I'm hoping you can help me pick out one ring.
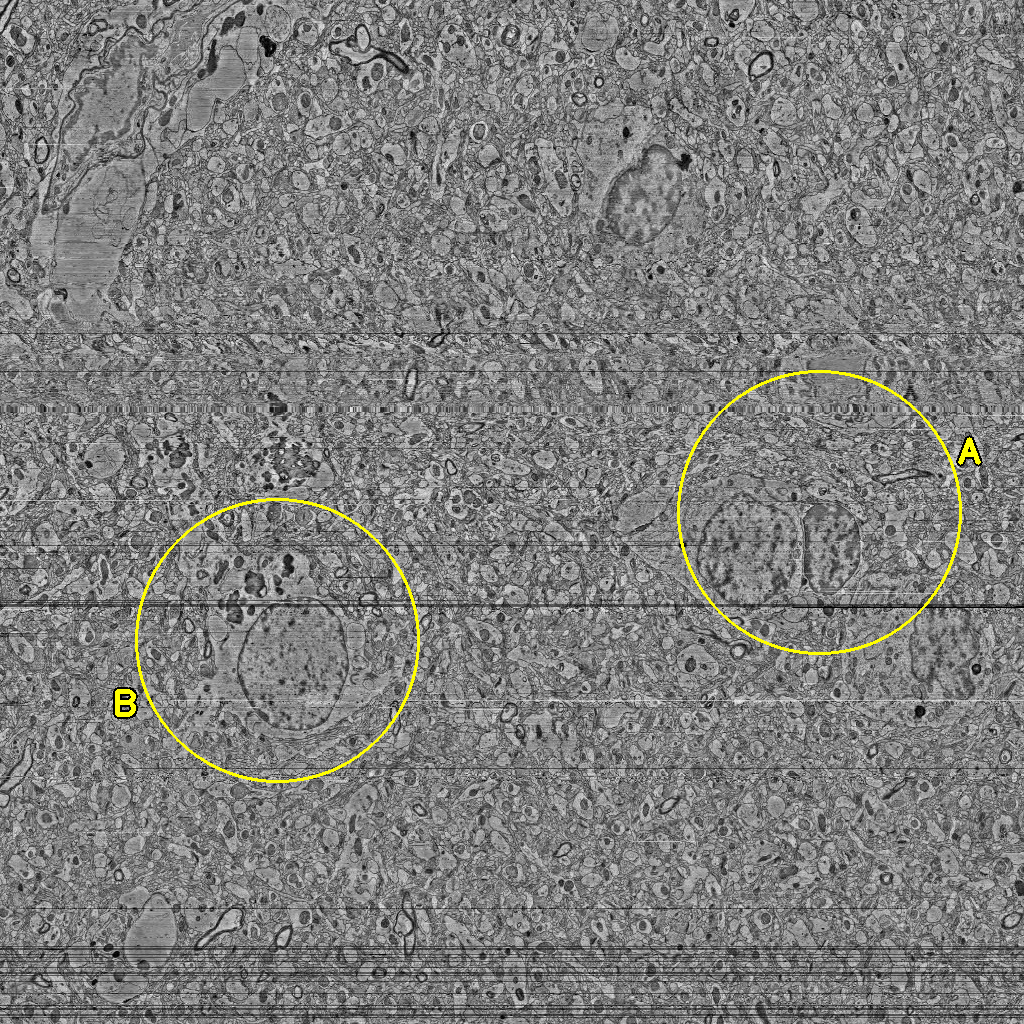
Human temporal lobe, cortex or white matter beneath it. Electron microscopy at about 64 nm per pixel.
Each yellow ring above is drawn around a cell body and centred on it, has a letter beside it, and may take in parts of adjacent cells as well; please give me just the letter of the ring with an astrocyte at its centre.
B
